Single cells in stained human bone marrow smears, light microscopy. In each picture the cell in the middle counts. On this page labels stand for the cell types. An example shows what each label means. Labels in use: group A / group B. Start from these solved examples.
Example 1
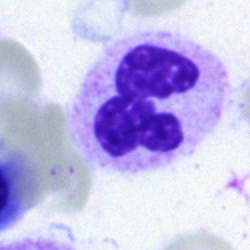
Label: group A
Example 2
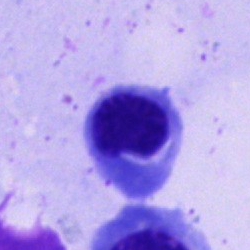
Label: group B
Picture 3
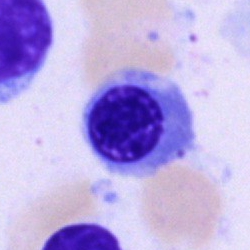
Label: group B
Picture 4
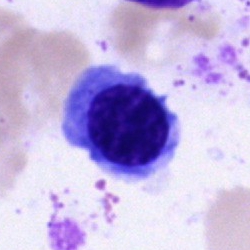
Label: group B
